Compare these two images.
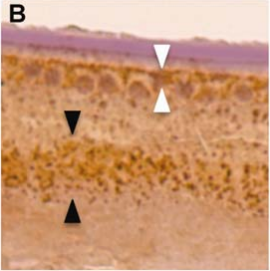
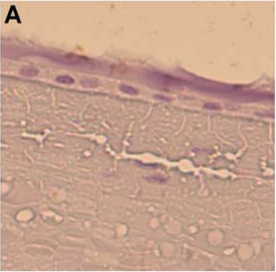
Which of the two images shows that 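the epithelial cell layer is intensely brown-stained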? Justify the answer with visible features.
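Second image: the surface cell row shows purple nuclei with little brown. First image: the surface cell row and the tissue below it are strongly brown with granular deposits. On this evidence: the first image.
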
